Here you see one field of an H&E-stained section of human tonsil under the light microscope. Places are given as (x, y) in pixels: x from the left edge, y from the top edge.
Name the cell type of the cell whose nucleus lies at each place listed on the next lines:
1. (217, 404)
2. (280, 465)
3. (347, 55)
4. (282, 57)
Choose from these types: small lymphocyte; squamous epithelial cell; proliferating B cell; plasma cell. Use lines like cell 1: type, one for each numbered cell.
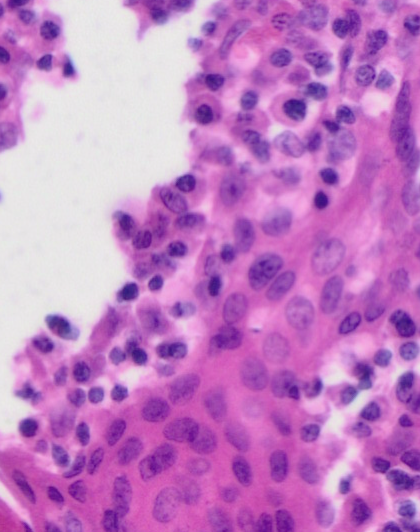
cell 1: squamous epithelial cell
cell 2: squamous epithelial cell
cell 3: squamous epithelial cell
cell 4: plasma cell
